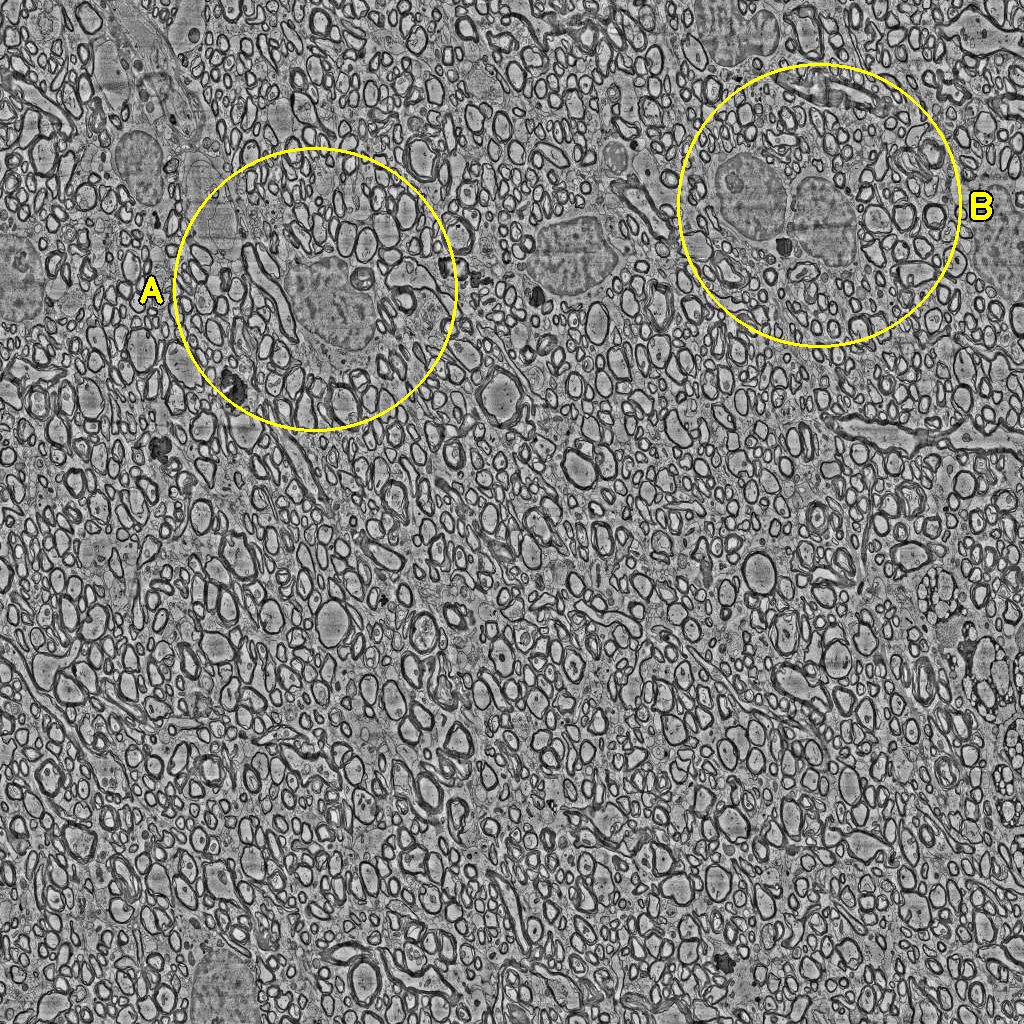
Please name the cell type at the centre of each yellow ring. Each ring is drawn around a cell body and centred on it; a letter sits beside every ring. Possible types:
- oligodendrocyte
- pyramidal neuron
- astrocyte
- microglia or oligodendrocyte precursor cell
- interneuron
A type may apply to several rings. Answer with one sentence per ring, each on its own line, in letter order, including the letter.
Ring A is centred on the cell body of an oligodendrocyte.
Ring B is centred on the cell body of an oligodendrocyte.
